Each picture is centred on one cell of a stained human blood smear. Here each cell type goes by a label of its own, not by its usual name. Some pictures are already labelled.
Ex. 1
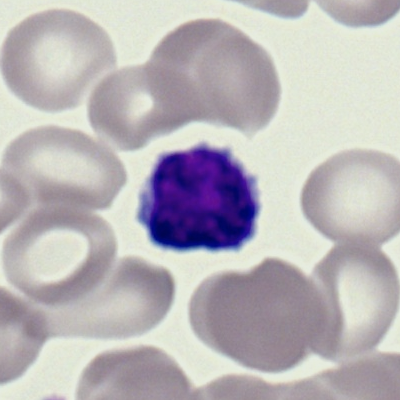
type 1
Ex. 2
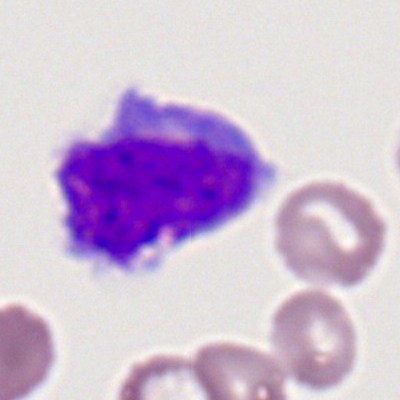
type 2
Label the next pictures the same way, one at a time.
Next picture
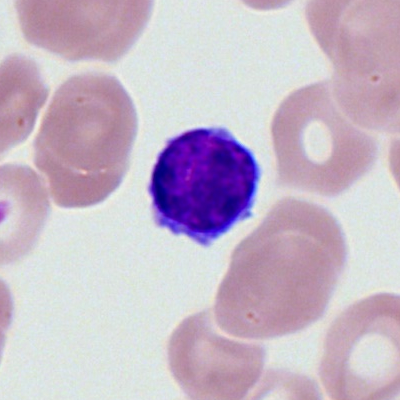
type 1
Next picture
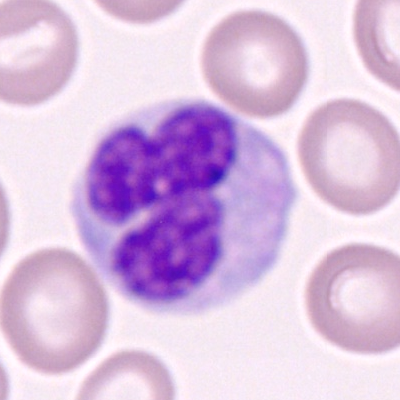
type 2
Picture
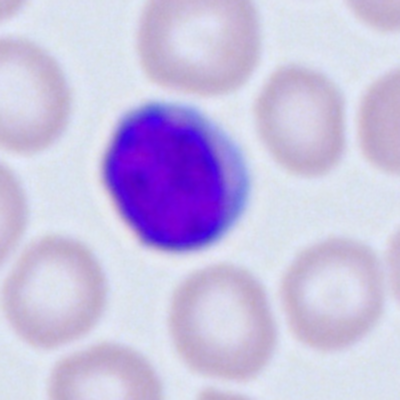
type 1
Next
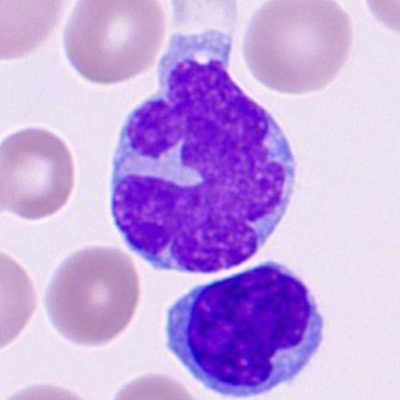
type 2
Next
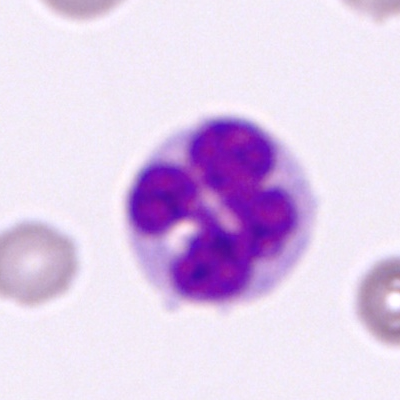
type 2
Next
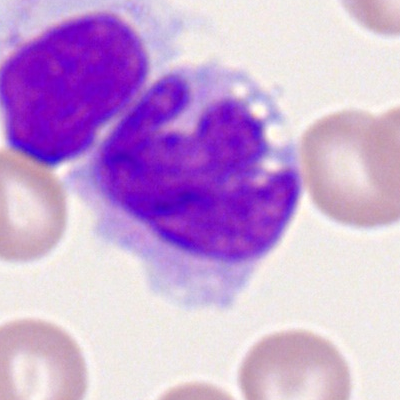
type 2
